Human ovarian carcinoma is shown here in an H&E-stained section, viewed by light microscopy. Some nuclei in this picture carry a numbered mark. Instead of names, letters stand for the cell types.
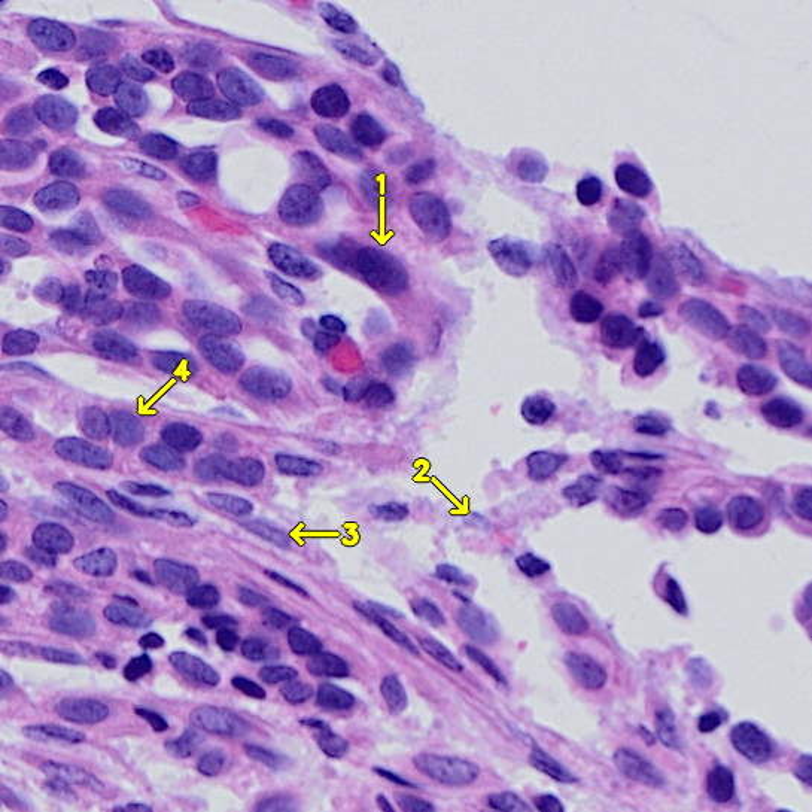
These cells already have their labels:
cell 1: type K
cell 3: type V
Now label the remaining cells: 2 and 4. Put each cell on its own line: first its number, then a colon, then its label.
2: type V
4: type K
